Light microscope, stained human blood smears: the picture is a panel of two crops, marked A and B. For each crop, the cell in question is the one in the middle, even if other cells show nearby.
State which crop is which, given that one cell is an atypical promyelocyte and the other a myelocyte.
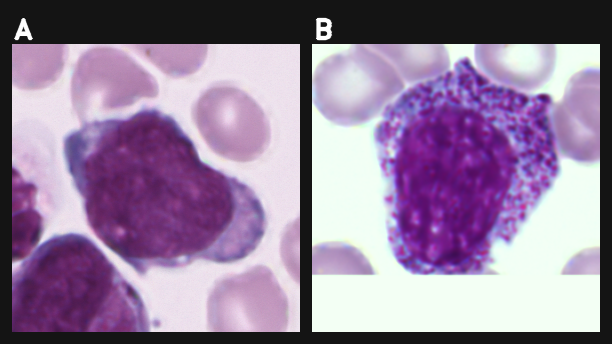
A: atypical promyelocyte
B: myelocyte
